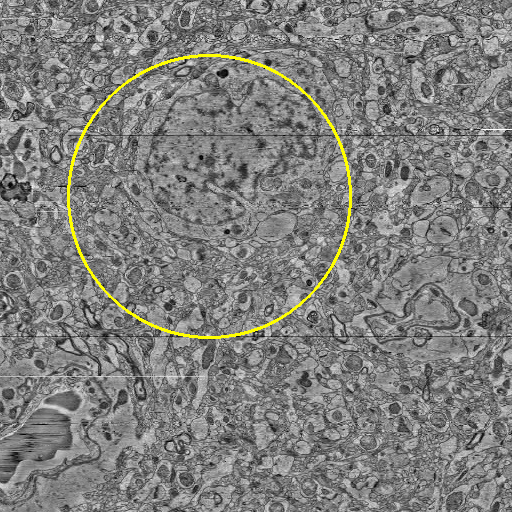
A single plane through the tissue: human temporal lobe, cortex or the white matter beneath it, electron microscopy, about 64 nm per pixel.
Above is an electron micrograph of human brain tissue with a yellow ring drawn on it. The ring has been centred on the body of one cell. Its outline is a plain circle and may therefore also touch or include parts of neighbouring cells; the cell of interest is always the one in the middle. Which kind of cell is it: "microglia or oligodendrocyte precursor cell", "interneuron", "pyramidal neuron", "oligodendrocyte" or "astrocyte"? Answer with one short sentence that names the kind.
The ring's central cell body is that of an interneuron.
